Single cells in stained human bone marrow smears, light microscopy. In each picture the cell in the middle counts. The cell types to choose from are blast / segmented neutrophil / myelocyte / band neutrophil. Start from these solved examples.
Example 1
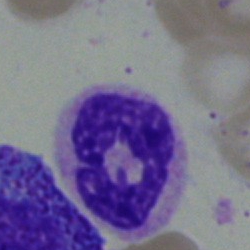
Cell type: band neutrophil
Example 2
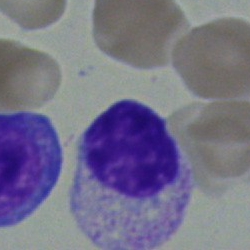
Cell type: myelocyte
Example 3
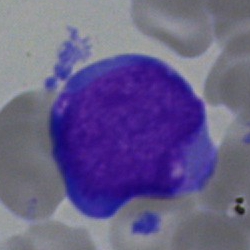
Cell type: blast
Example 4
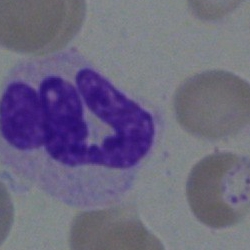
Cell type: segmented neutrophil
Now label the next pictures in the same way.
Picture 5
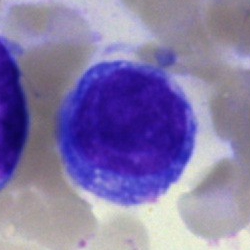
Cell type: blast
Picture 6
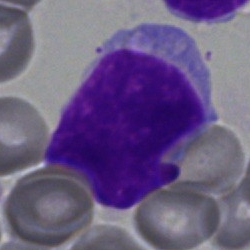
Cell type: blast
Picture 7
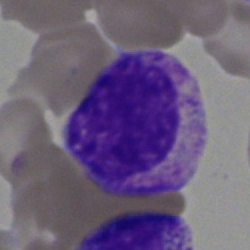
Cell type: myelocyte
